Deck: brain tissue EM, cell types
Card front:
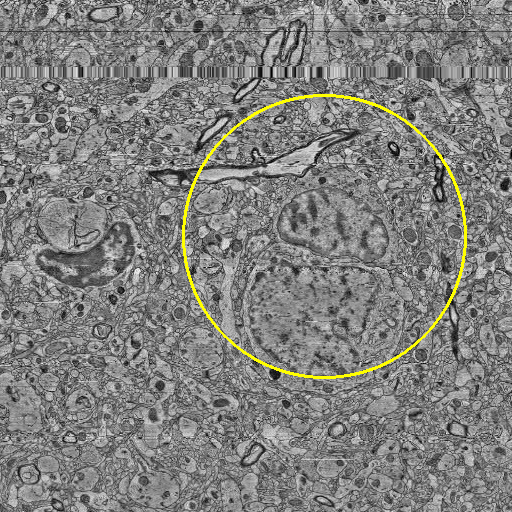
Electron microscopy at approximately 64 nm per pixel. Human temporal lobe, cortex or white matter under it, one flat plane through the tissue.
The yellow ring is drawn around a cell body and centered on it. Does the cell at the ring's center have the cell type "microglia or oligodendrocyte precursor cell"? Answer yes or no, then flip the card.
no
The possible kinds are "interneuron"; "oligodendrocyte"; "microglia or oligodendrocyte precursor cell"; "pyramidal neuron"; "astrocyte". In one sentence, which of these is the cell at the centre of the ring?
The cell marked by the ring is an oligodendrocyte.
